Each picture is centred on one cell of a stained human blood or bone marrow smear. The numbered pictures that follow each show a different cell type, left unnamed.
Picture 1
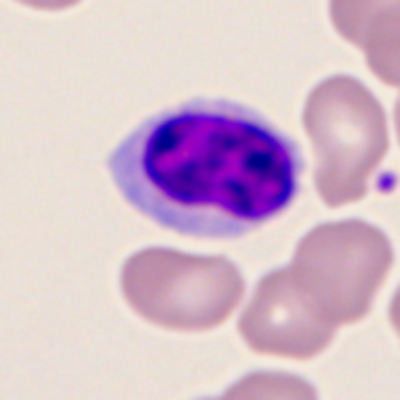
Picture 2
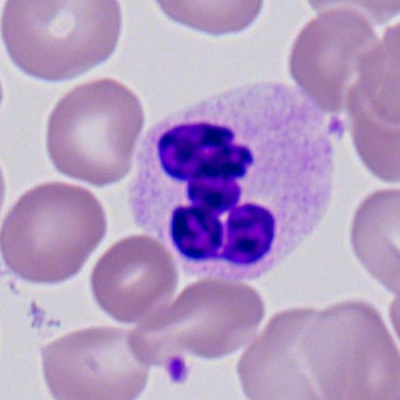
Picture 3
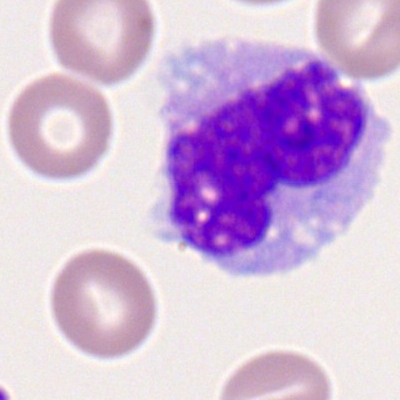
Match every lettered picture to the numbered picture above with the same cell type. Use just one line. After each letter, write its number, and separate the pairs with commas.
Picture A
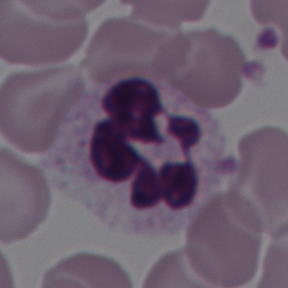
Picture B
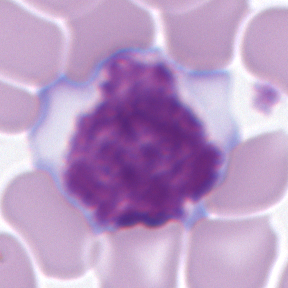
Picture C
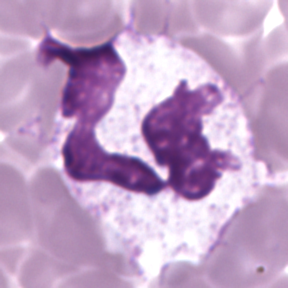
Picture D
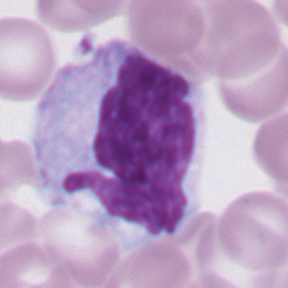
A 2, B 3, C 2, D 3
